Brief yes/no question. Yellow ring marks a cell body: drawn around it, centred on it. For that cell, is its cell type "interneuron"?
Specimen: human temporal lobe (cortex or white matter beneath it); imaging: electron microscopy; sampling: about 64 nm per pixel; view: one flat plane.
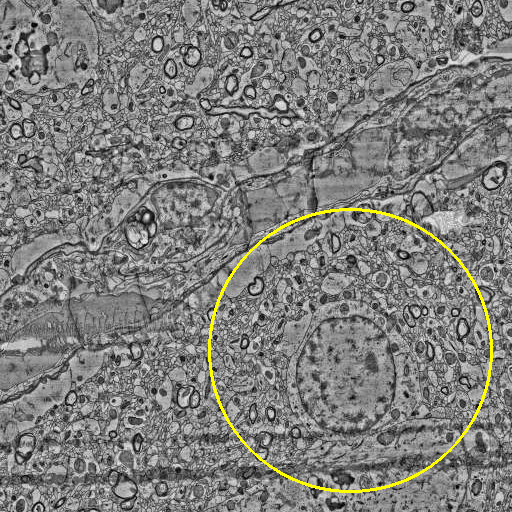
Yes, that is the cell type.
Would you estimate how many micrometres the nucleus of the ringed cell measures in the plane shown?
In this plane, roughly 7 micrometres across.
